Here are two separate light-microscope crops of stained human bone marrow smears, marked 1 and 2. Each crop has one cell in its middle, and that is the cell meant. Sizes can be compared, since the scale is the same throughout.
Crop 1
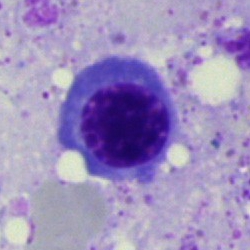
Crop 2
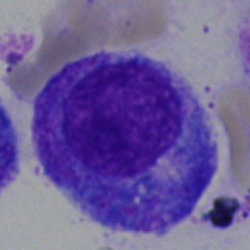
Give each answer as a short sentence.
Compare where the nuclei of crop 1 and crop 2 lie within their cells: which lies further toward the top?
It is the nucleus in crop 2 that lies further toward the top of its cell.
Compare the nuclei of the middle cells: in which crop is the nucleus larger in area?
It is the nucleus in crop 2, about 2 times as large in area as the one in crop 1.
